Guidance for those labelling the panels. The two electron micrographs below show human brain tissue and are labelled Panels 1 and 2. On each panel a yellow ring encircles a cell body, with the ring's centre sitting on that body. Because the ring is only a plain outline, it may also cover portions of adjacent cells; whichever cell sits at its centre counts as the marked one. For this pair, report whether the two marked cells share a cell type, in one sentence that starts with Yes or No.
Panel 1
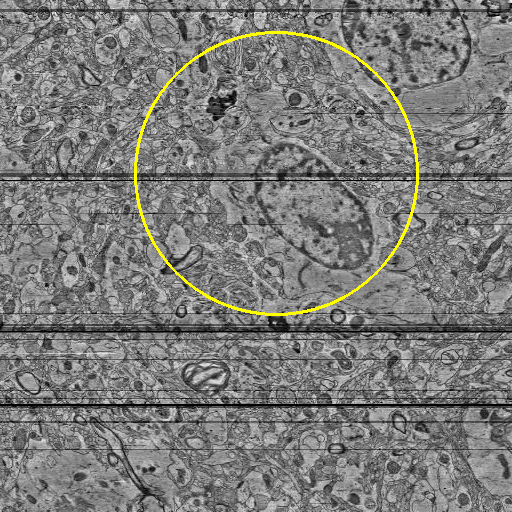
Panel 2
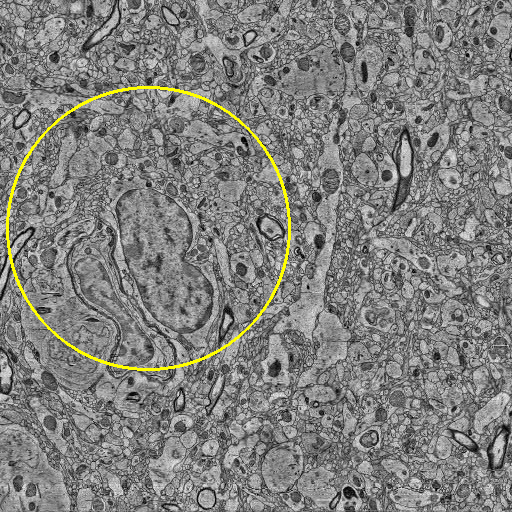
No, in Panel 1 and Panel 2 the marked cells at the ring centres are of two types.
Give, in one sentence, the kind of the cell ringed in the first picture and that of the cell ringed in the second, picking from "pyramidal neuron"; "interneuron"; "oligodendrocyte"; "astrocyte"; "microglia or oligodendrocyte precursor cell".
For the first picture it is an astrocyte; for the second, a microglial cell or oligodendrocyte precursor cell.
